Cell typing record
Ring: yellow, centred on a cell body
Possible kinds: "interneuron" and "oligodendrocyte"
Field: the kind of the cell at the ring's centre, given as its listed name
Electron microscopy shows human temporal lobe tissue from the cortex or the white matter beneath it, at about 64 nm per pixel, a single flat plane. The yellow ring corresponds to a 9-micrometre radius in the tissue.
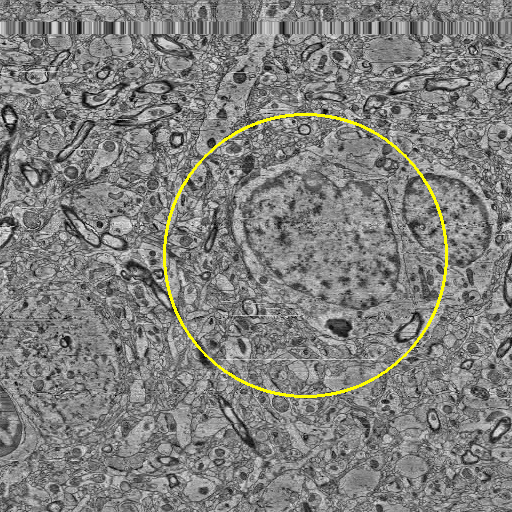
interneuron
